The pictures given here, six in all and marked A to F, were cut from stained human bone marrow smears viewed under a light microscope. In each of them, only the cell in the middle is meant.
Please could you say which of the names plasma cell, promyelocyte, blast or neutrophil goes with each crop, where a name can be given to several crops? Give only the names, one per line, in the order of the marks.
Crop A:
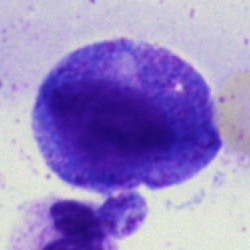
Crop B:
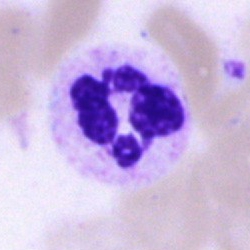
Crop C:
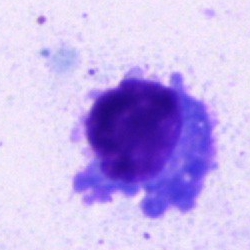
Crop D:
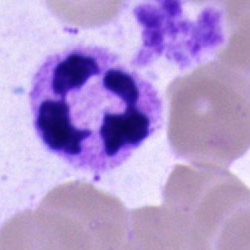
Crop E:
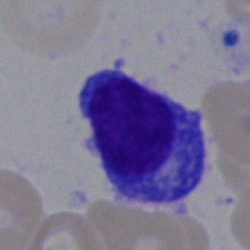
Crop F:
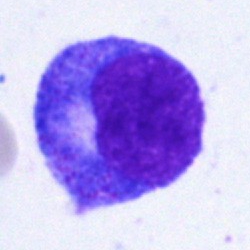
promyelocyte
neutrophil
plasma cell
neutrophil
plasma cell
promyelocyte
